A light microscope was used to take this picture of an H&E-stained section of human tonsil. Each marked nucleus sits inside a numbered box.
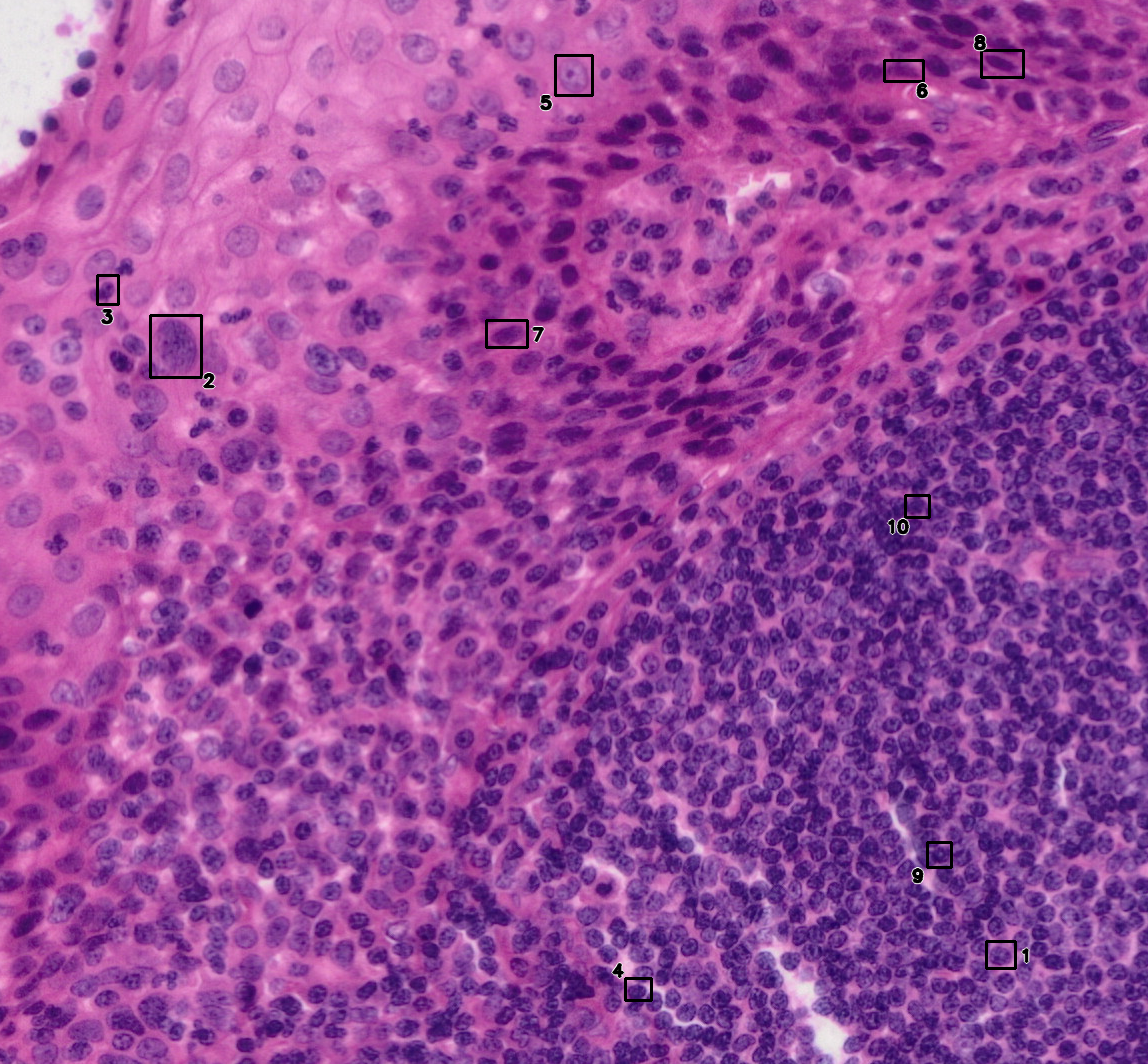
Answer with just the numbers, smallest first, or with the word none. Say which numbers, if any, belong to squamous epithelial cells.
2, 3, 5, 6, 7, 8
